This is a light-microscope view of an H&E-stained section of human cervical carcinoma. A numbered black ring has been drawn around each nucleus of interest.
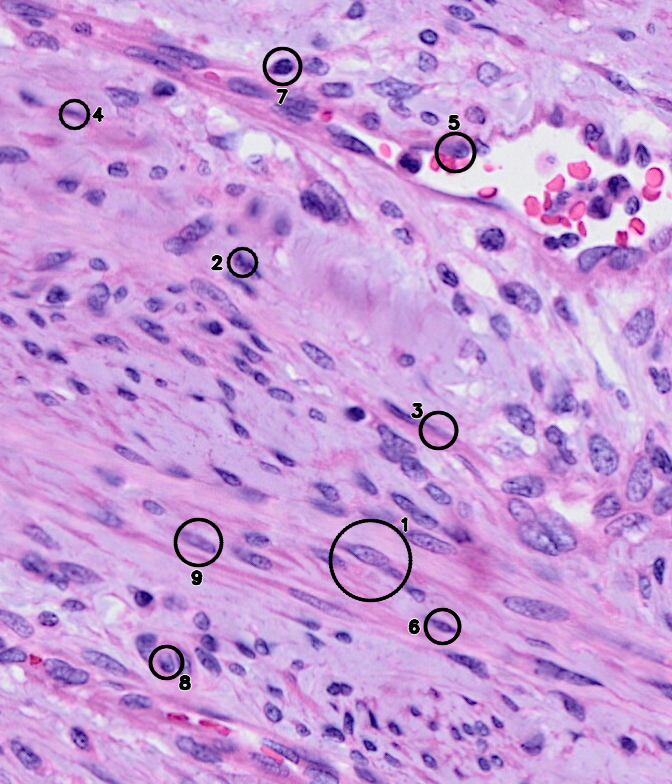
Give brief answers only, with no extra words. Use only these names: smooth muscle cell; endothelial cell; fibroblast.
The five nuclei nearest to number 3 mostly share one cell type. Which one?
fibroblast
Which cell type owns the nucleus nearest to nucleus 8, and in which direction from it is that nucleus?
an endothelial cell, to the right of nucleus 8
